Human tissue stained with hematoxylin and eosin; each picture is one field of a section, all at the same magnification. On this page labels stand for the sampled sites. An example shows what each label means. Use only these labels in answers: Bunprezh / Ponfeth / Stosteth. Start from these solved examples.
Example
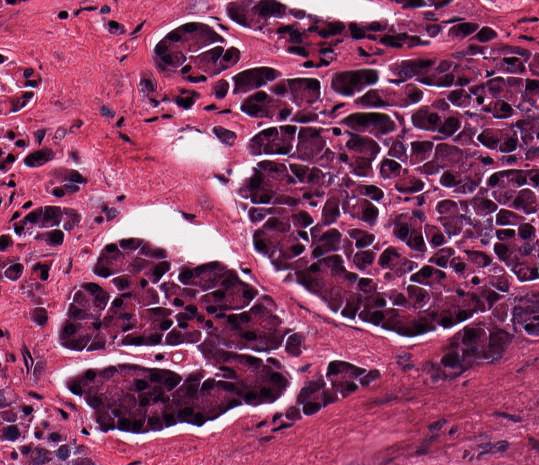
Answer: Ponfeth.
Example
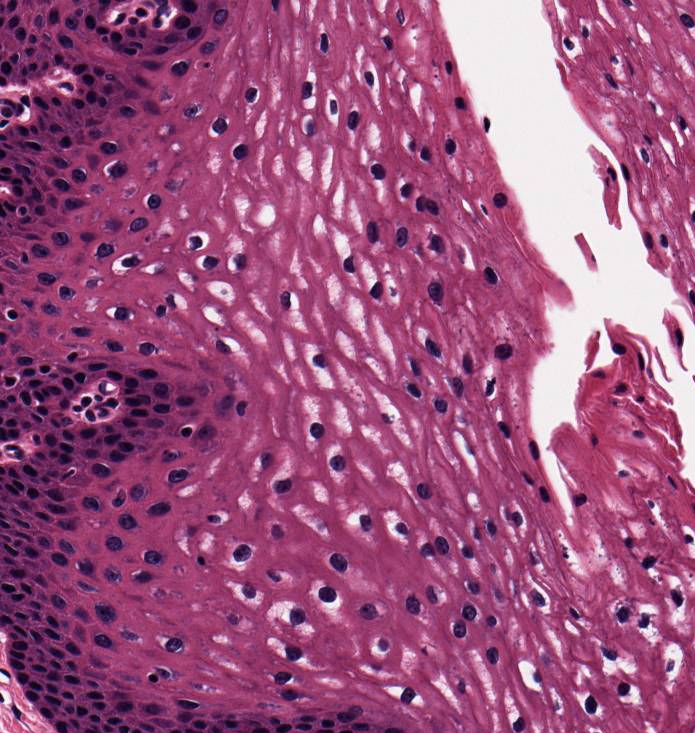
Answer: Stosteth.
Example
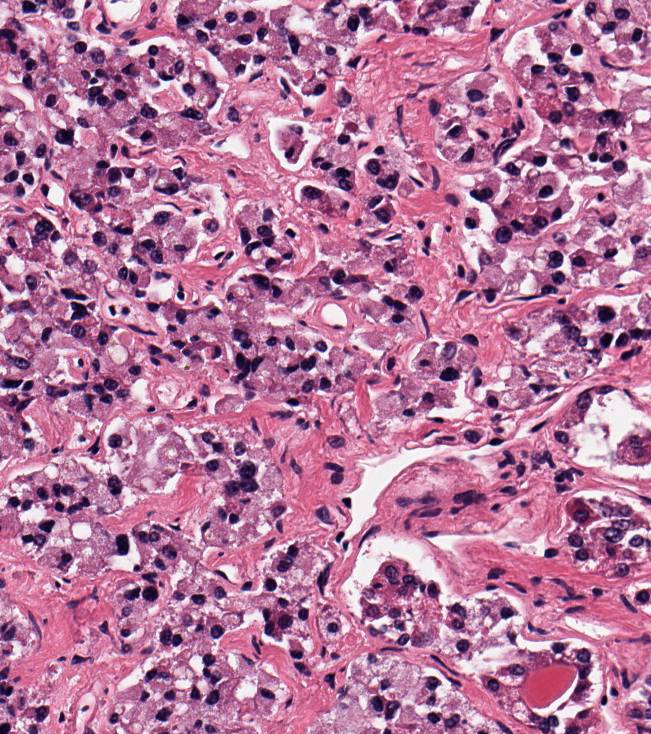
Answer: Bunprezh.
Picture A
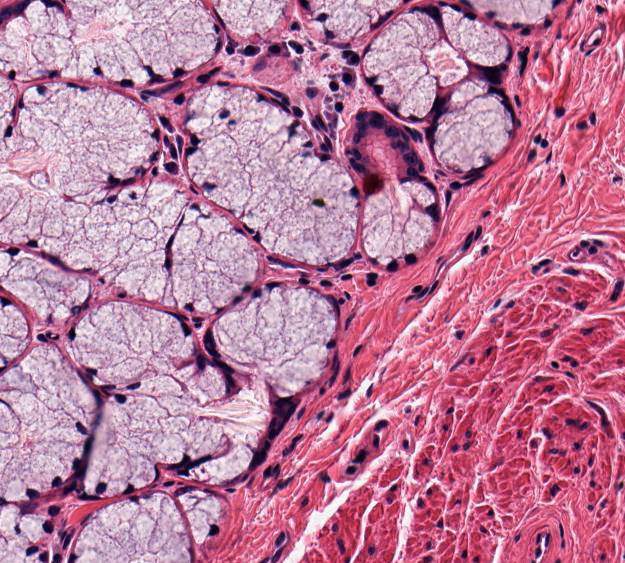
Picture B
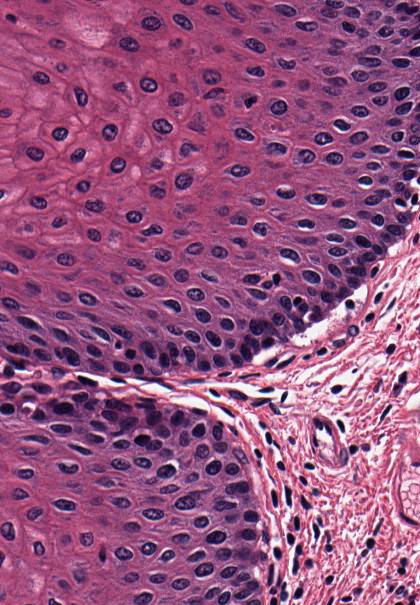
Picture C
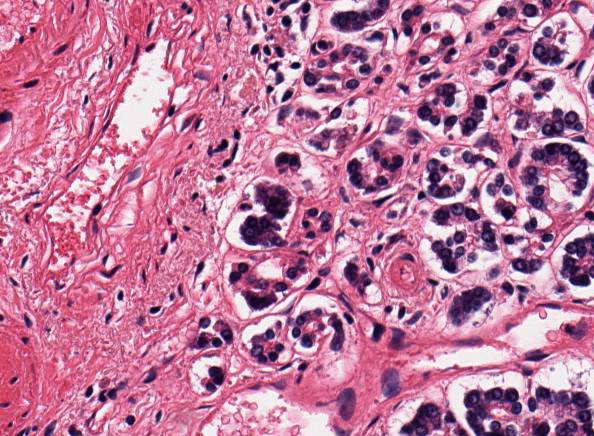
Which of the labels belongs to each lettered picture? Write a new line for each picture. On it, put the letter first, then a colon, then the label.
A: Stosteth.
B: Stosteth.
C: Ponfeth.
